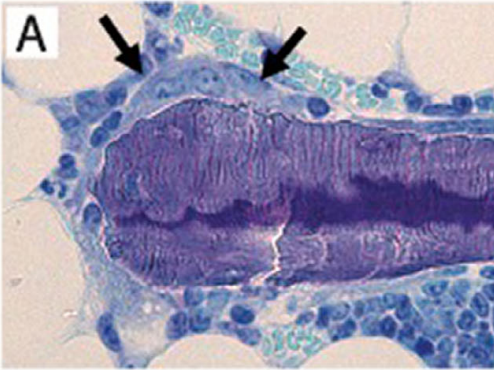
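An elongated bone trabecula stained purple runs across the field, with fine lamellar striations and a darker purple band along its centre. Lying on its upper surface is a large, flattened osteoclast with pale blue cytoplasm and more than one nucleus. Around the trabecula is bone marrow with many small round cells with dark blue nuclei. Red blood cells appear as small greenish-blue discs in vascular spaces. Round, empty, unstained spaces of fat cells border the marrow at the edges of the field.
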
